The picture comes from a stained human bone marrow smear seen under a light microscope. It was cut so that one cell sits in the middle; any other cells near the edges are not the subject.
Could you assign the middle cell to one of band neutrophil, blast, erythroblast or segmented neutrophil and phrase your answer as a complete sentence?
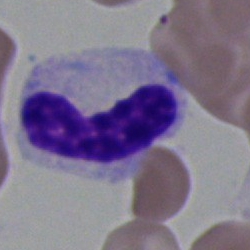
Located at the centre of the crop is a band neutrophil.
